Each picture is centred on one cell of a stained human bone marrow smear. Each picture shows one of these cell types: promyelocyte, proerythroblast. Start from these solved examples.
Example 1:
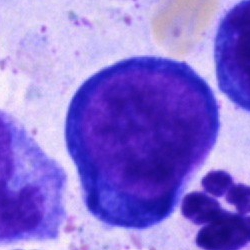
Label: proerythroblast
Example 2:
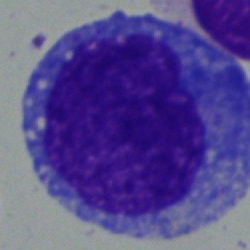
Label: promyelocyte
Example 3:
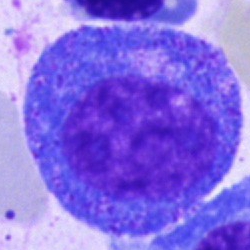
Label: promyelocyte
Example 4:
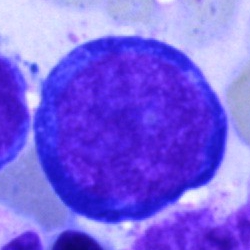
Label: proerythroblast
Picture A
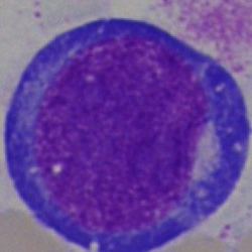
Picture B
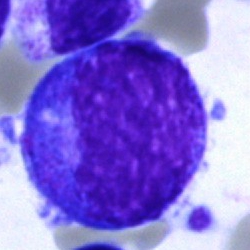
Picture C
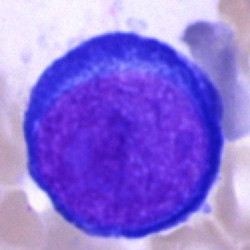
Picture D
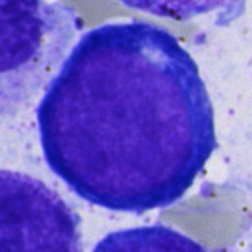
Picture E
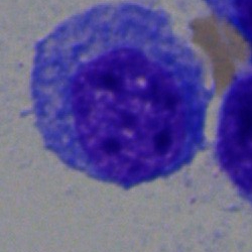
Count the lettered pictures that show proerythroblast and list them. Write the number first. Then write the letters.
3, namely A, C, D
